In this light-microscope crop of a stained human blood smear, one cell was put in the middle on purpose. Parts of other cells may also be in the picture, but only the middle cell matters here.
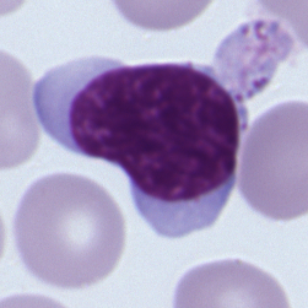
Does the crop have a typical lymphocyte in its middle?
no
